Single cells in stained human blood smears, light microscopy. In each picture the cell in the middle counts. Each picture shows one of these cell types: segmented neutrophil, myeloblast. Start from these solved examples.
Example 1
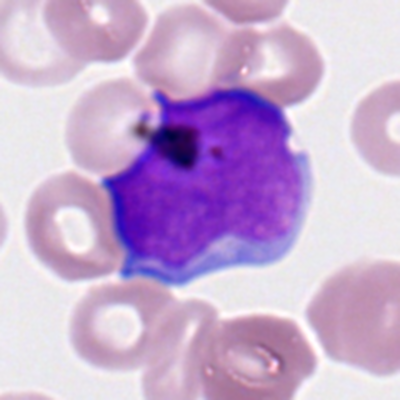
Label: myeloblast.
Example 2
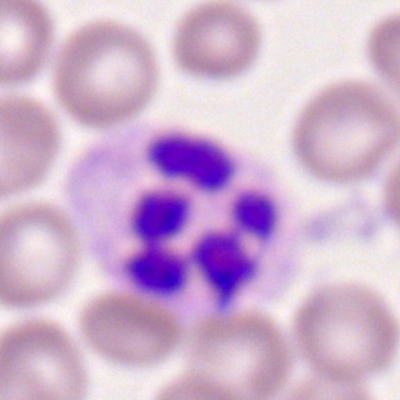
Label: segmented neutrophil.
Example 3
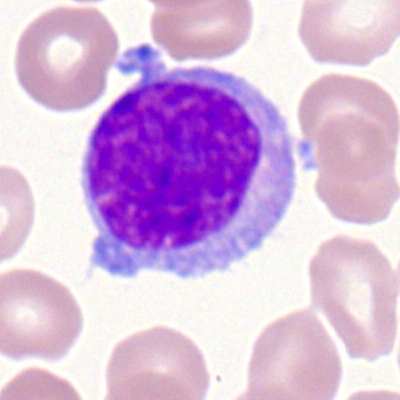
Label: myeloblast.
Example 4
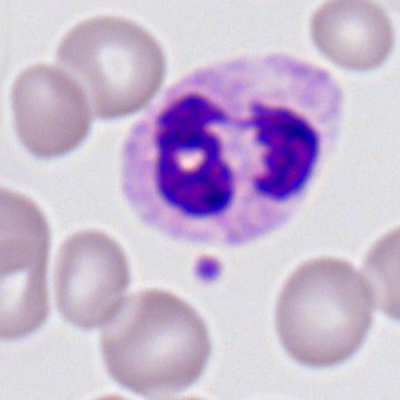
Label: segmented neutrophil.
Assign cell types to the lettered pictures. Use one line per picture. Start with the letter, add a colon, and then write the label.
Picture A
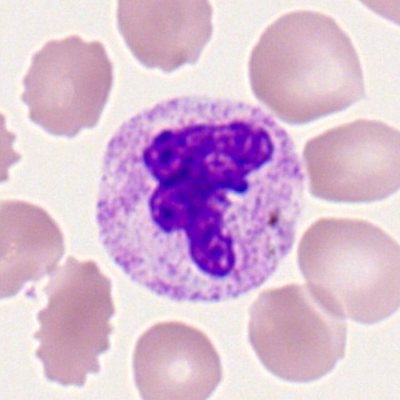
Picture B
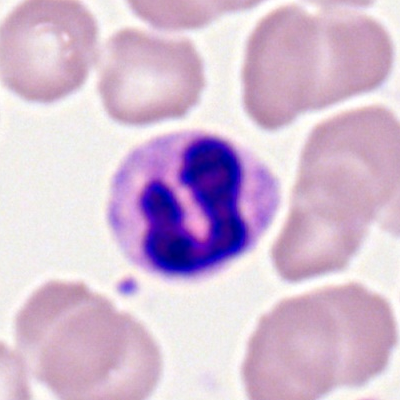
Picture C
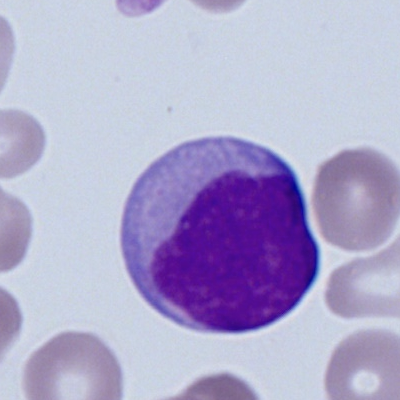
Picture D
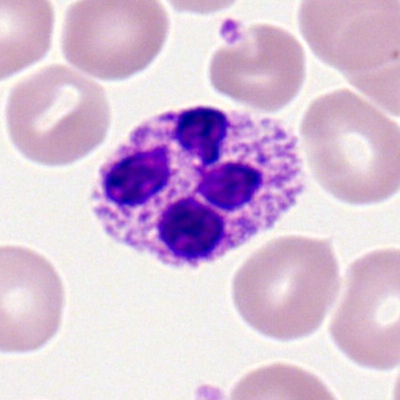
A: segmented neutrophil.
B: segmented neutrophil.
C: myeloblast.
D: segmented neutrophil.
